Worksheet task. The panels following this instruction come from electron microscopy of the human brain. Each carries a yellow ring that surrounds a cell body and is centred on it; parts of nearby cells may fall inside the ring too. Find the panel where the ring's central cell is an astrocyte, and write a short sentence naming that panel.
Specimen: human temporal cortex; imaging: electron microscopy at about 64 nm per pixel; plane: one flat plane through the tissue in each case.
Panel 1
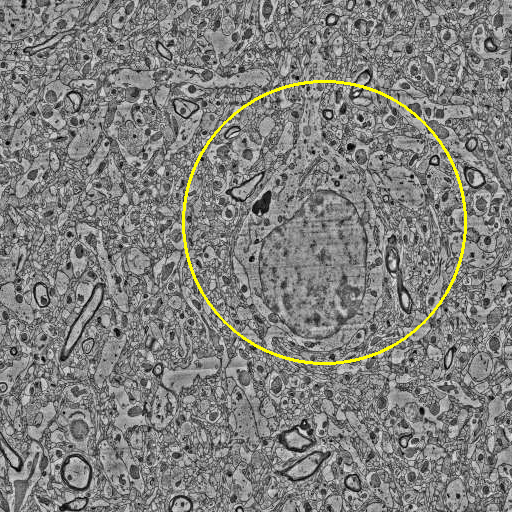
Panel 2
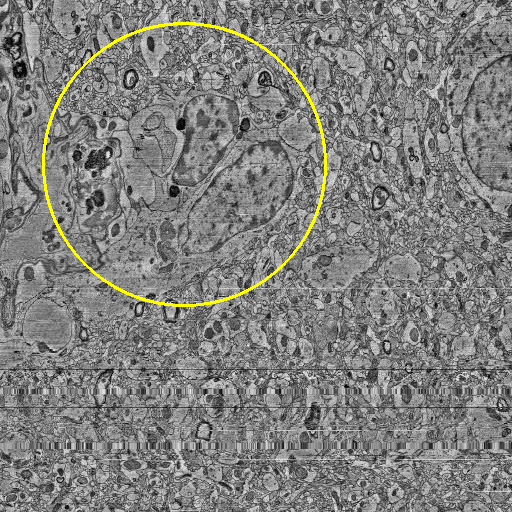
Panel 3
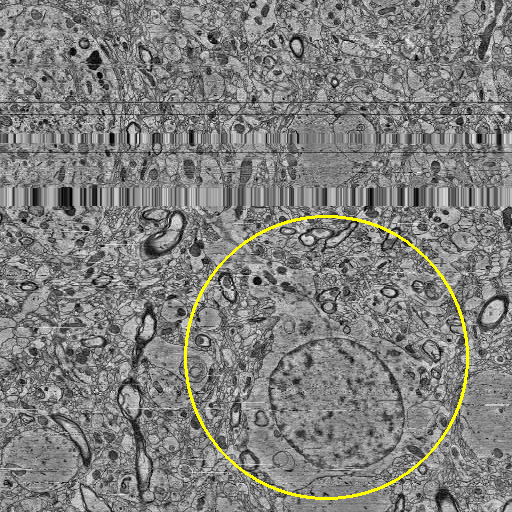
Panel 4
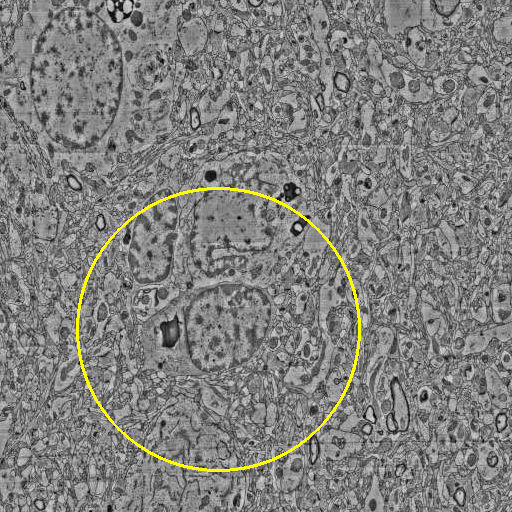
The cell sought is in Panel 3.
